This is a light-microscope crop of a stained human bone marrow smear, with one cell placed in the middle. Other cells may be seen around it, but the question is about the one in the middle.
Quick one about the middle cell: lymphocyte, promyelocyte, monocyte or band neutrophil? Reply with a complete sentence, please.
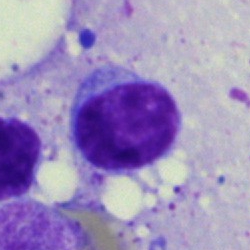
The cell at the centre of the field is a lymphocyte.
